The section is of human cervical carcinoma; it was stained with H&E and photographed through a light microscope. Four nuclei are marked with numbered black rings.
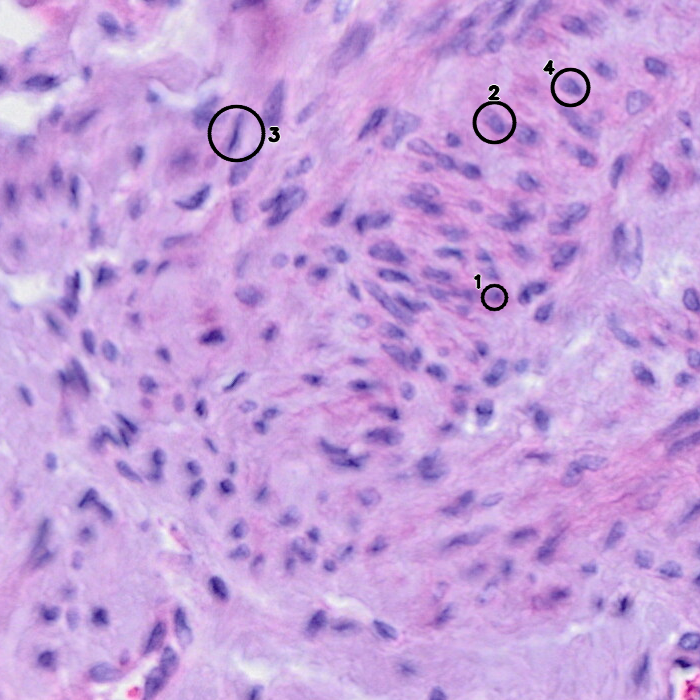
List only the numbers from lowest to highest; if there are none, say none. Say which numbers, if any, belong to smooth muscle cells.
1, 2, 4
